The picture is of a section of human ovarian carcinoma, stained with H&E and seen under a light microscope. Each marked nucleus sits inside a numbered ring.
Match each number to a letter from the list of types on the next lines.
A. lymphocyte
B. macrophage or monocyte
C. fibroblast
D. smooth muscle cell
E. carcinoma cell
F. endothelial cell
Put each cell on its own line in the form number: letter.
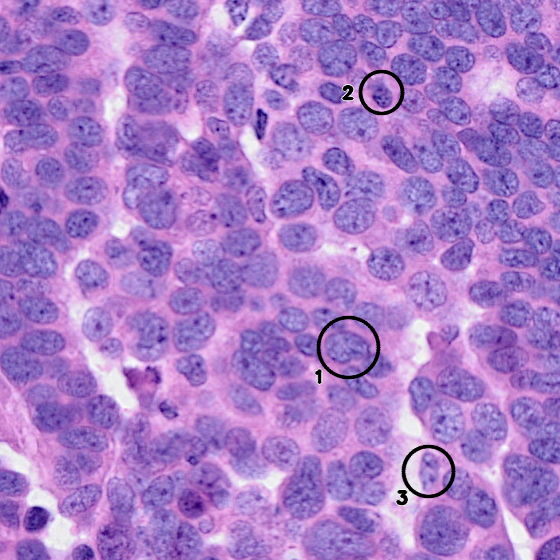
1: E
2: B
3: B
